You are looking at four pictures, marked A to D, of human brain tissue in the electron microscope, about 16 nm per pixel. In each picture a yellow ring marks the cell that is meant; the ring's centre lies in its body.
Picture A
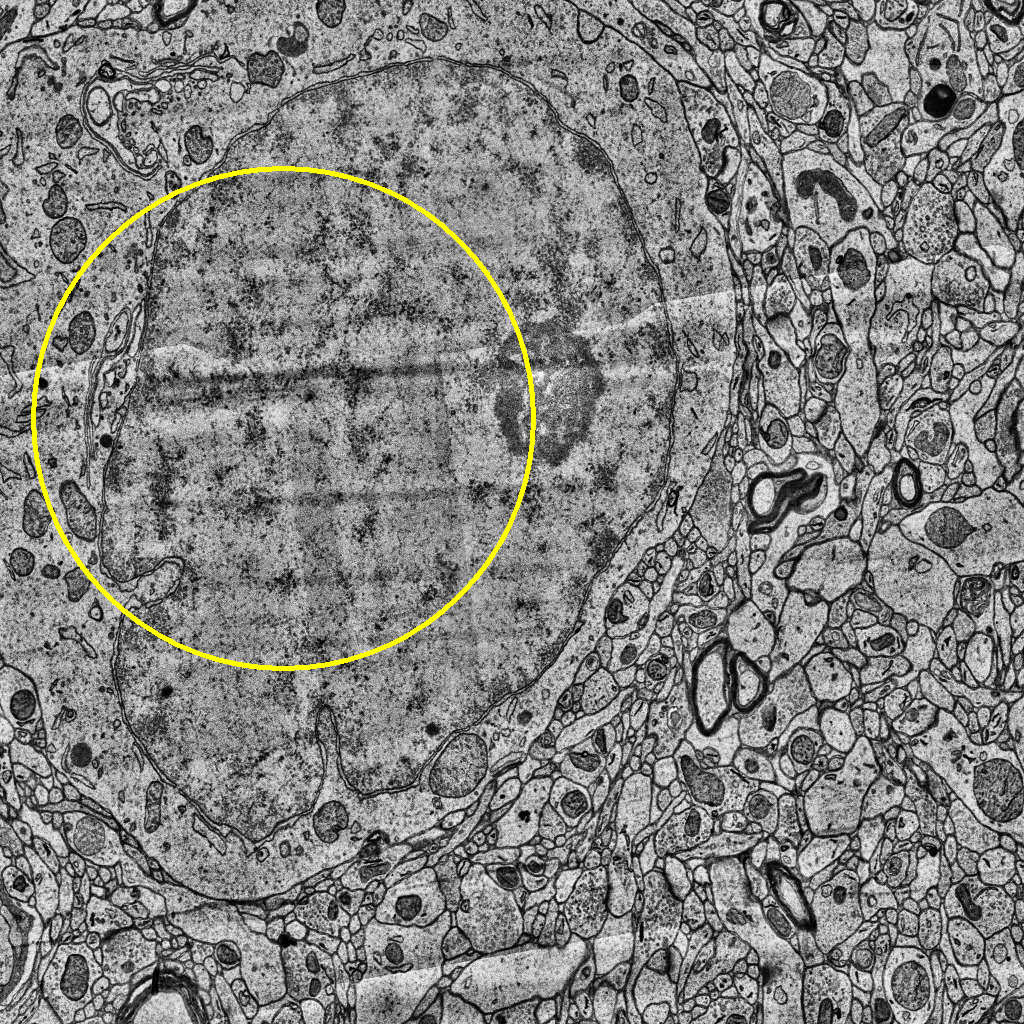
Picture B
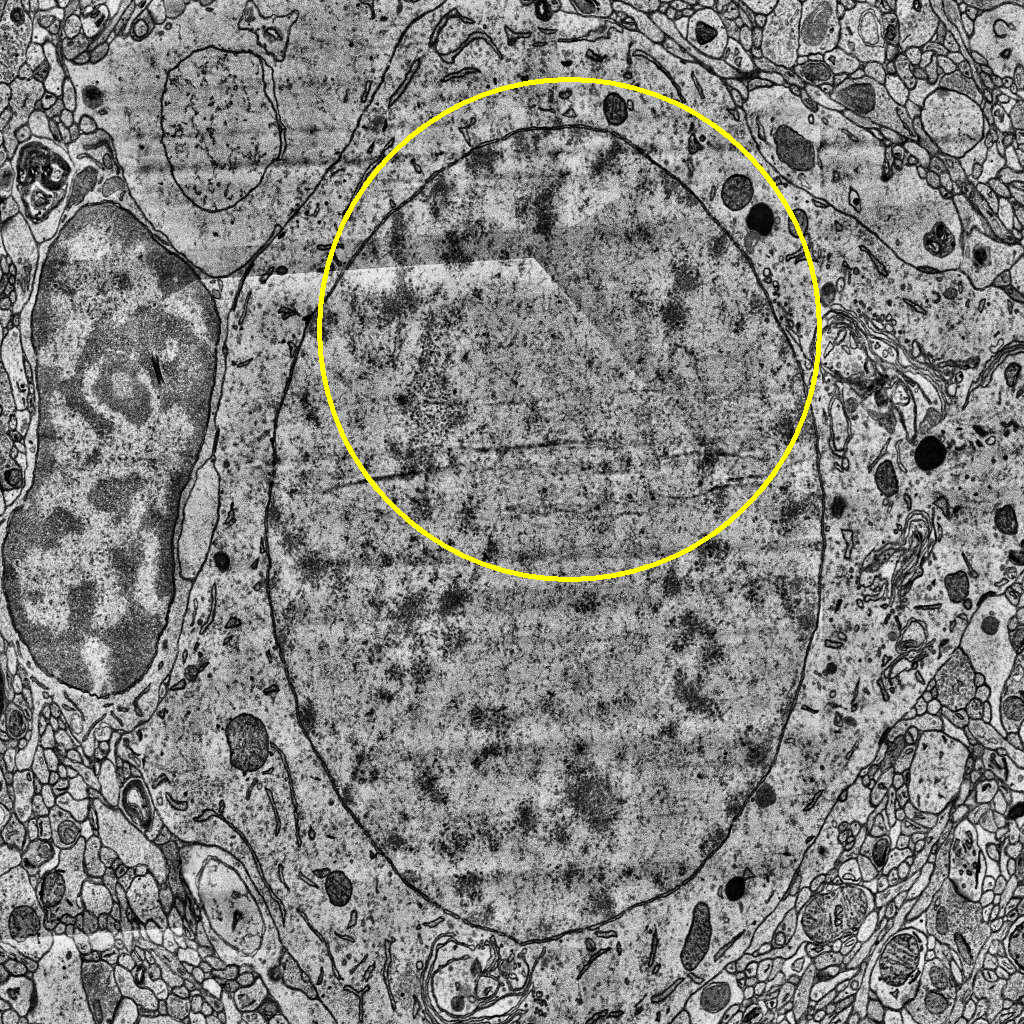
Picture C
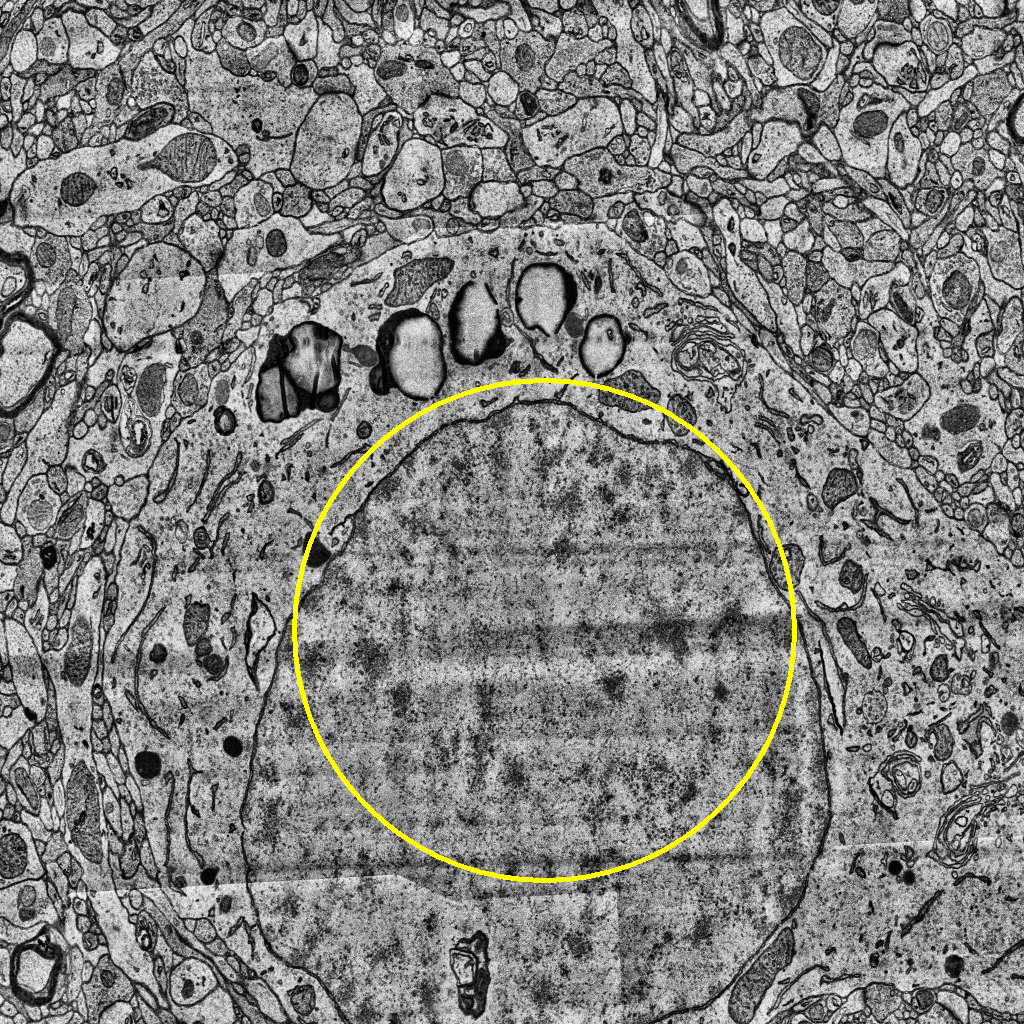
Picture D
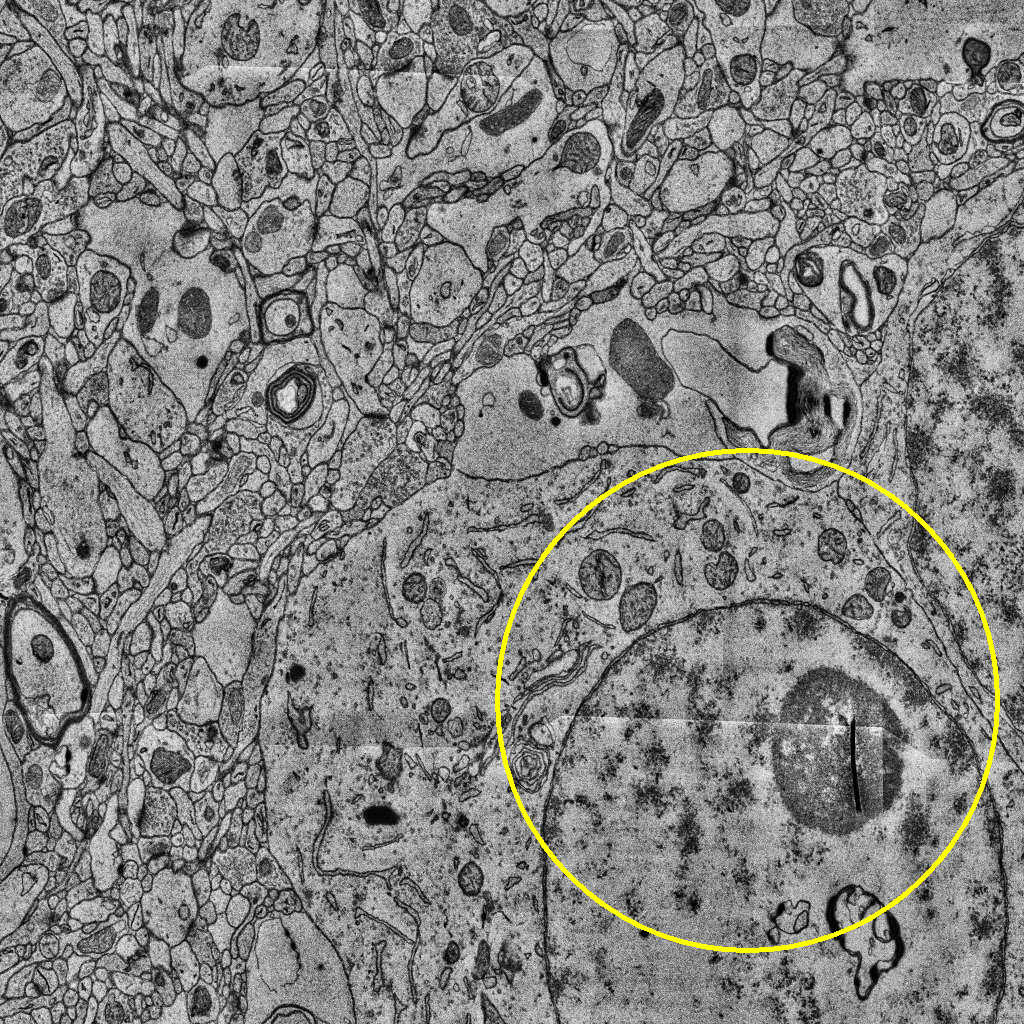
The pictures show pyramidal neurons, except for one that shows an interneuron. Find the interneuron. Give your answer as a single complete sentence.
Picture A shows the interneuron.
